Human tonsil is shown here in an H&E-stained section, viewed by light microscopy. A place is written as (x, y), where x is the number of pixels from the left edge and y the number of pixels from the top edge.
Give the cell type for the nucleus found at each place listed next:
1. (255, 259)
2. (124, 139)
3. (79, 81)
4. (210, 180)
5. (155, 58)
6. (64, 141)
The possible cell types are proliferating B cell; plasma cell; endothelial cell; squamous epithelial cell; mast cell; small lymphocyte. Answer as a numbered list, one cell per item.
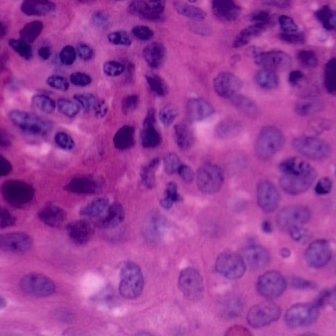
1. squamous epithelial cell
2. squamous epithelial cell
3. plasma cell
4. squamous epithelial cell
5. squamous epithelial cell
6. plasma cell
